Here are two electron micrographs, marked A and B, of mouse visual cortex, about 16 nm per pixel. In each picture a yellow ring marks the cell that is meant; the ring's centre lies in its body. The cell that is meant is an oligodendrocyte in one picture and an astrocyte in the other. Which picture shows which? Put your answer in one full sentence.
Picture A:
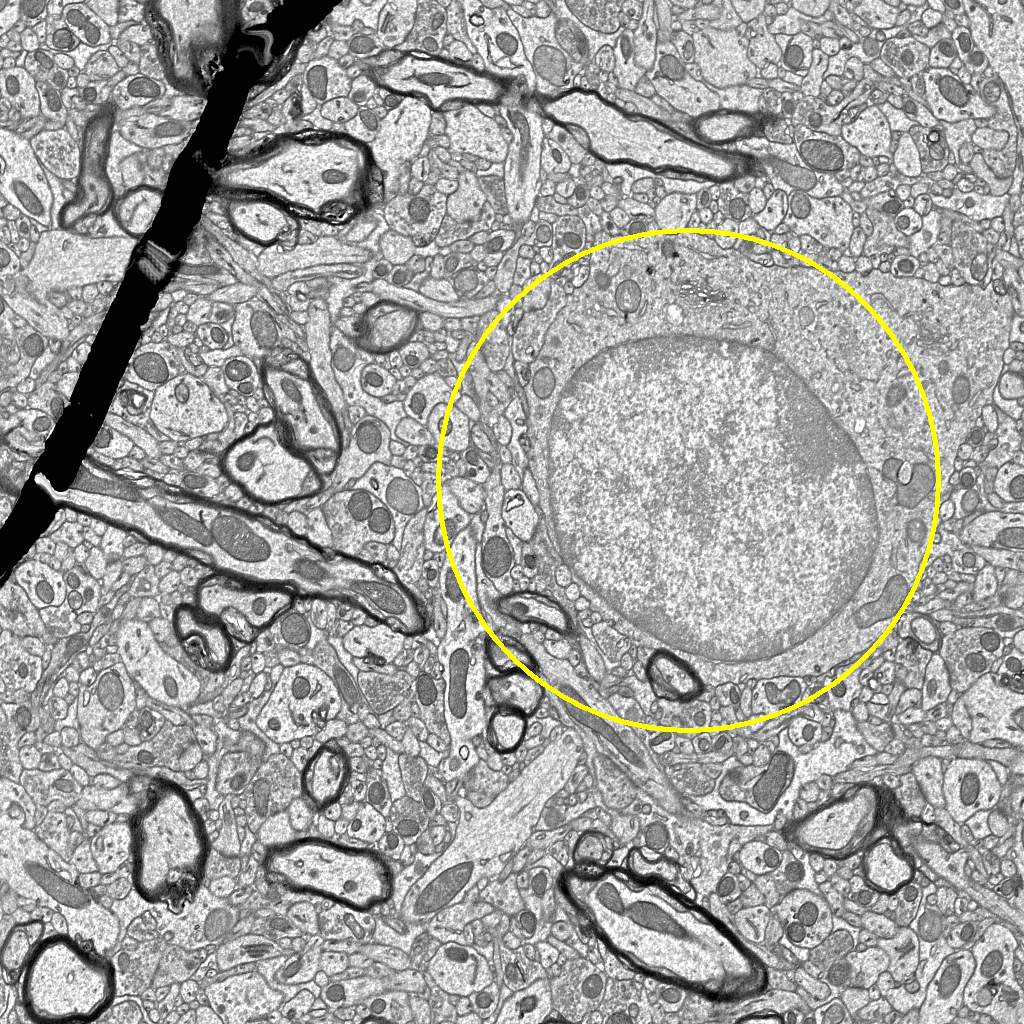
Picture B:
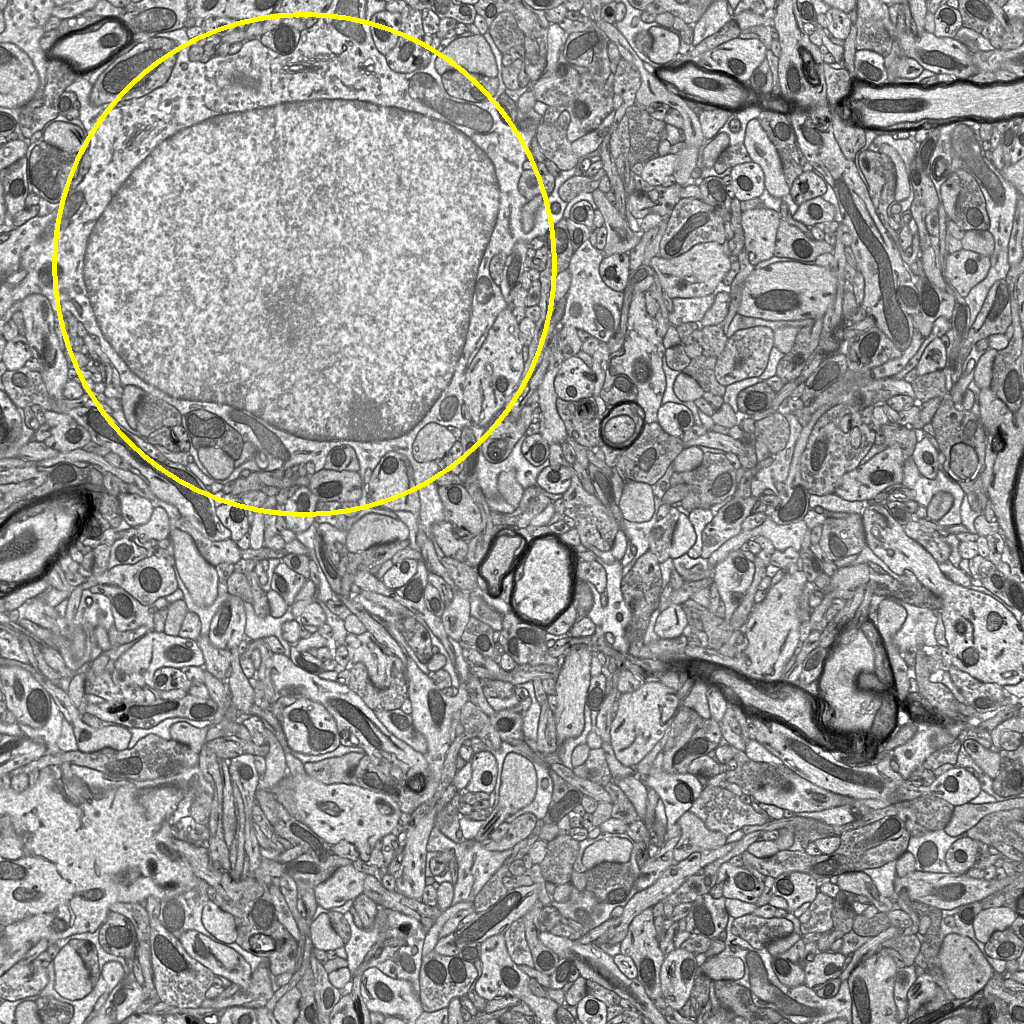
In picture A the cell is an oligodendrocyte; in picture B, an astrocyte.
